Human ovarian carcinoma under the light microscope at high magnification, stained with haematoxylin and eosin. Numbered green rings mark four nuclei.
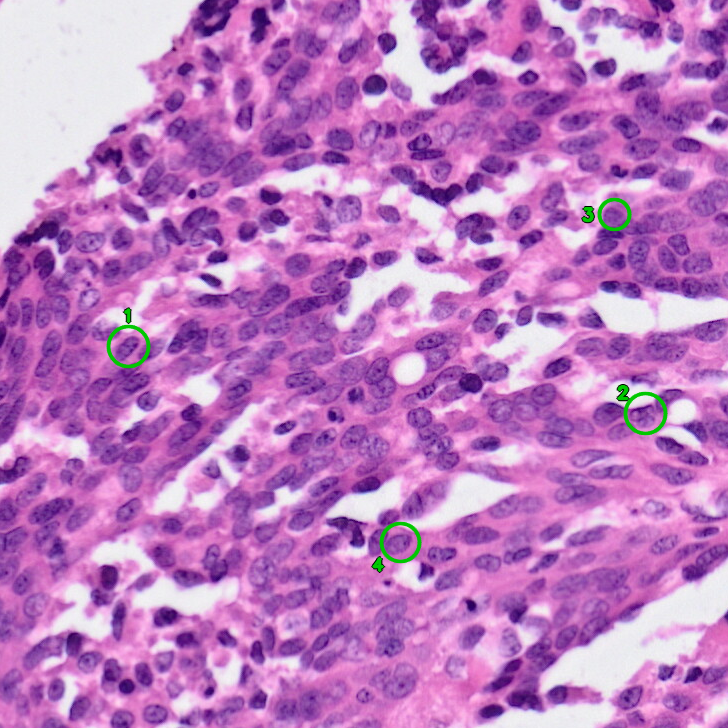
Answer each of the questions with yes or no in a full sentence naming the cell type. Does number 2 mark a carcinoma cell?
Yes, regarding cell number 2, it is a carcinoma cell.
